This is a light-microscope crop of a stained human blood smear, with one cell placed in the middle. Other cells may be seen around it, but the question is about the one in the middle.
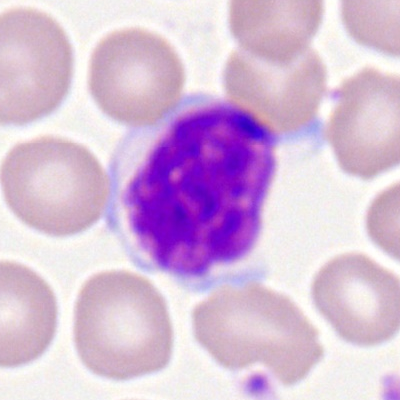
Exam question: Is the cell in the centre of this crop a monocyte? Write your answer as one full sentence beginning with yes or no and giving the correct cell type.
No, wrong label: the middle cell is a lymphocyte instead of a monocyte.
